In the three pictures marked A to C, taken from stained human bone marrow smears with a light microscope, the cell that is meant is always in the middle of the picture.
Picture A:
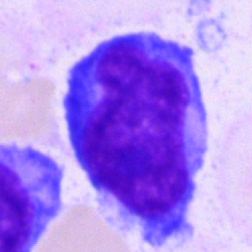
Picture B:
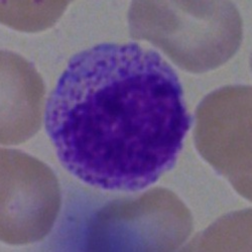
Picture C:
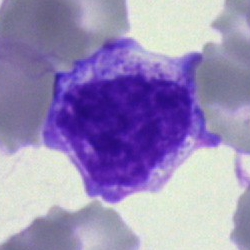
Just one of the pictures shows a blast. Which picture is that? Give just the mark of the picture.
A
